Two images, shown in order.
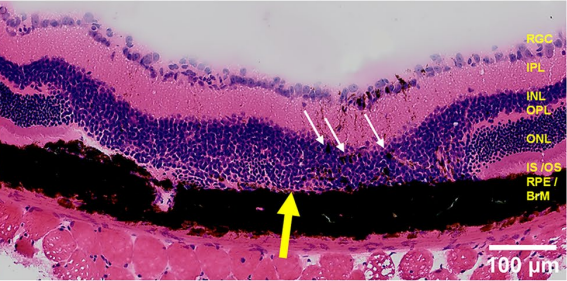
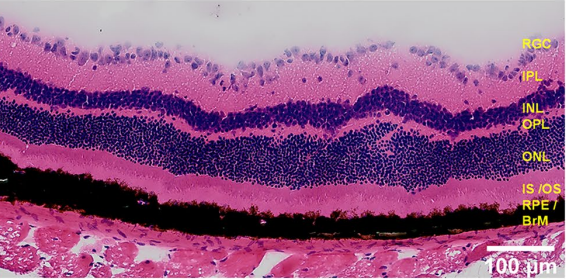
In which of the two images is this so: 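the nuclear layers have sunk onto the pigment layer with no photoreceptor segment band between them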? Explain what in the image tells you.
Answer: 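First image: in the middle the dark nuclei lie directly on a thick black pigmented band, with brown pigment granules among them. Second image: a continuous pale pink band separates the outer nuclear layer from the black pigment layer along its whole length.
Conclusion: the first image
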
